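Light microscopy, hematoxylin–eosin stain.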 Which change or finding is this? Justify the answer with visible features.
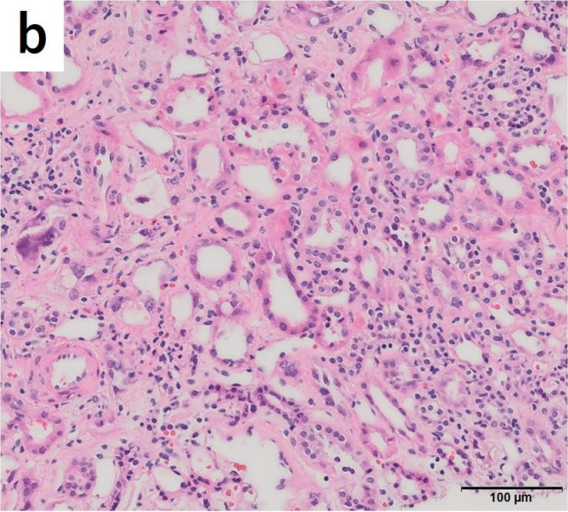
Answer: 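Many small round dark nuclei lie between the tubules. The interstitium between tubules is widened and cellular. On this evidence: infiltration of inflammatory cells.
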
